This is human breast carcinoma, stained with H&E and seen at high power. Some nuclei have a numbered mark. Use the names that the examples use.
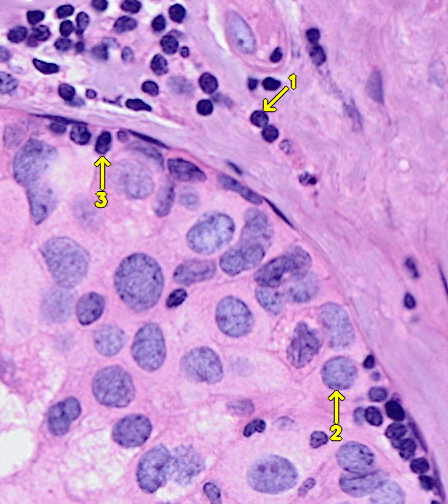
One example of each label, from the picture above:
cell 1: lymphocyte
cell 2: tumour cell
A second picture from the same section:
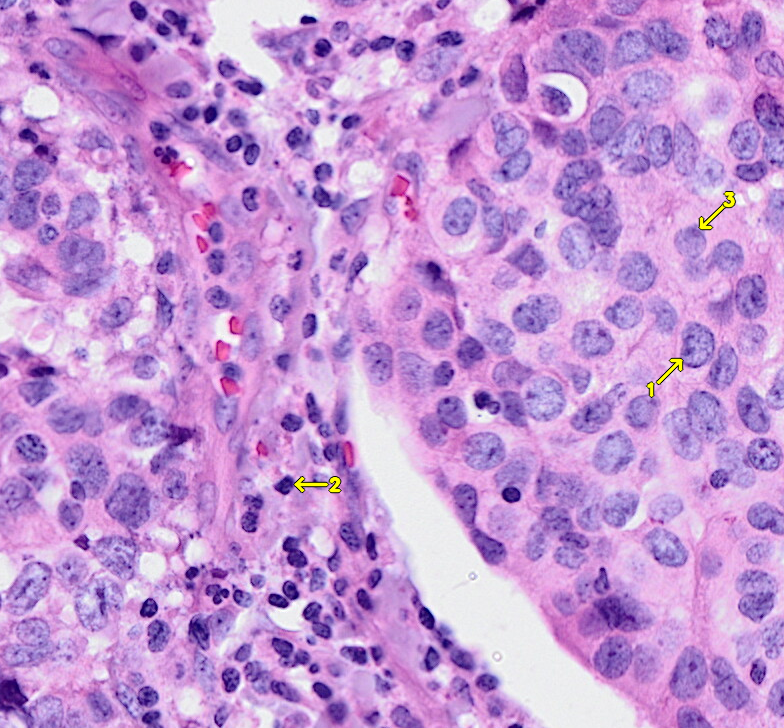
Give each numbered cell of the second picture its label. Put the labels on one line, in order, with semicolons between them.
tumour cell; lymphocyte; tumour cell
